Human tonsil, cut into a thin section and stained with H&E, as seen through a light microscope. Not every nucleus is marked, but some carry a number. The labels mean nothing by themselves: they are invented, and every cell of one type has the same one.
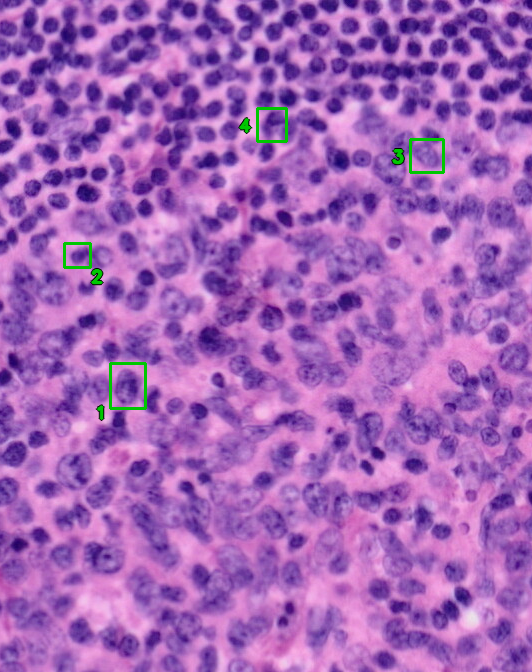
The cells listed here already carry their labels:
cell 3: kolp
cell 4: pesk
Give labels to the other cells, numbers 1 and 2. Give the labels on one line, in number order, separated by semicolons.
kolp; kolp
